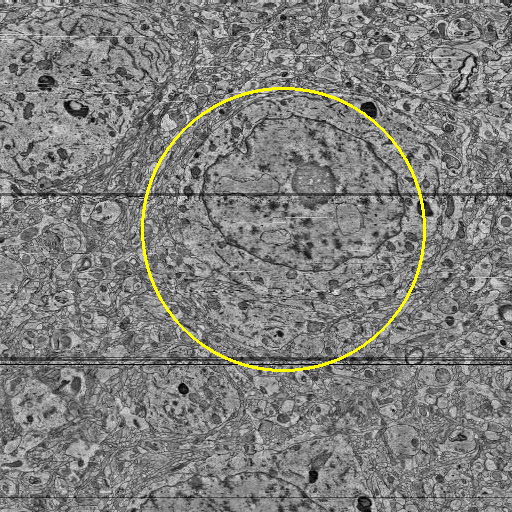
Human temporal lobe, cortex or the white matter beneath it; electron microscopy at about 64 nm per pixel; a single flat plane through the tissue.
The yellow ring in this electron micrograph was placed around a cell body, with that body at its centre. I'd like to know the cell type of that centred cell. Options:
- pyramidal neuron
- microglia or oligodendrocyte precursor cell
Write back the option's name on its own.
pyramidal neuron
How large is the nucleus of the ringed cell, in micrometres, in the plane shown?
About 13 by 10 micrometres in this plane.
